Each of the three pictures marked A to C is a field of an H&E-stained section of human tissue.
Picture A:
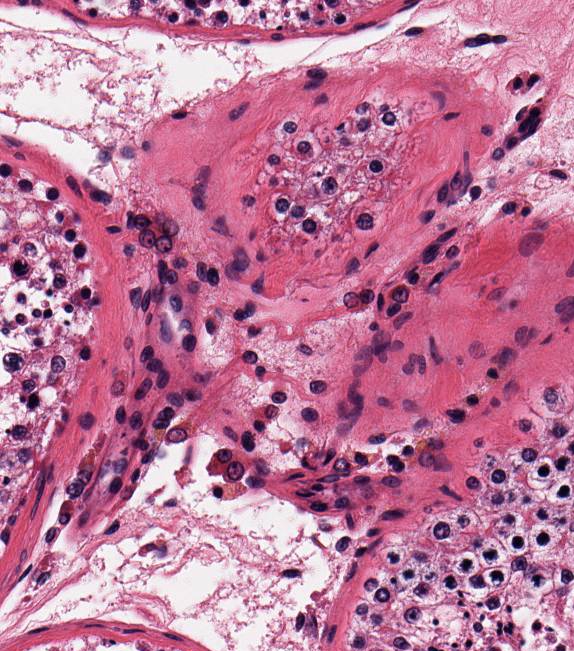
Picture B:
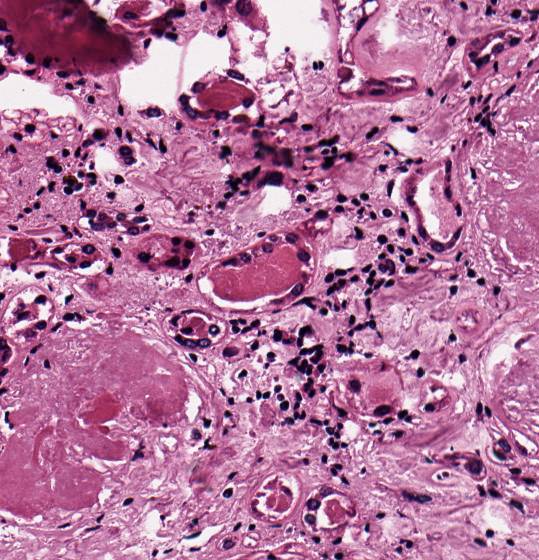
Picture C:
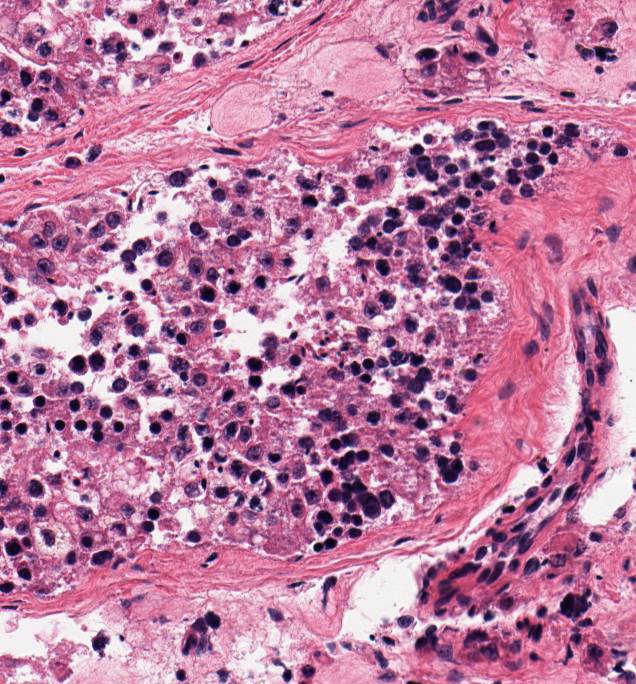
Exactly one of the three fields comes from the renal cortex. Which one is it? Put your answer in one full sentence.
Picture B is the field that comes from the renal cortex.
